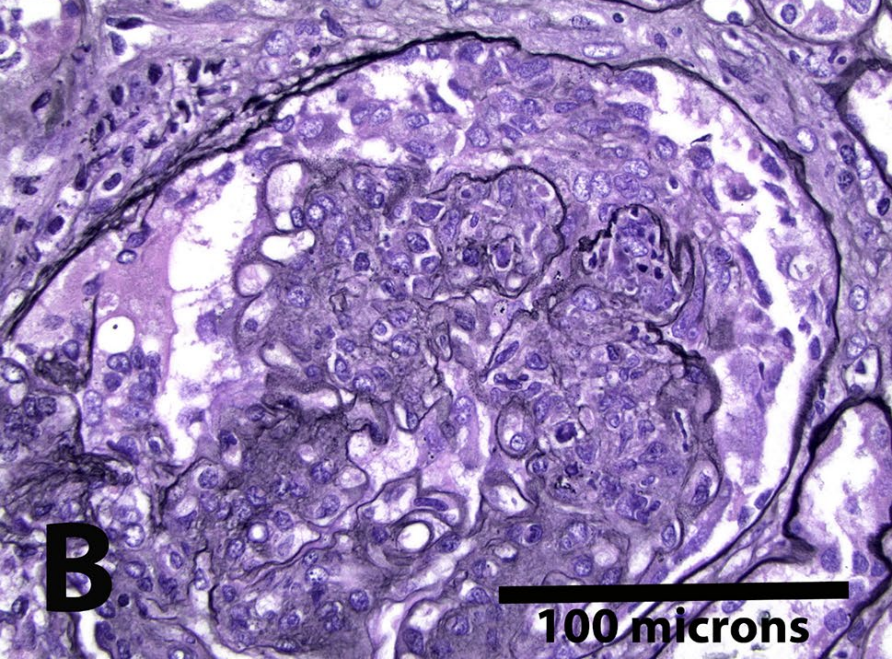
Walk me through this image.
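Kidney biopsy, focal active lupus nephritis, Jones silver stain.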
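The tuft is densely packed with purple nuclei, and its capillary walls are outlined in grey-black, with few open lumens. Along the upper right, a layer of crowded cells lies between the tuft and the capsule.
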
